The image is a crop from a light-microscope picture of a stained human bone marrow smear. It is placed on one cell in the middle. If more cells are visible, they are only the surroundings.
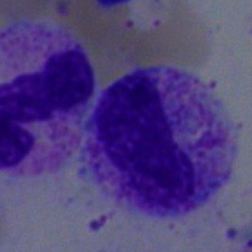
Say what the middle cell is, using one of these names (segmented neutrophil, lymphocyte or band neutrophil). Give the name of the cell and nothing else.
band neutrophil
